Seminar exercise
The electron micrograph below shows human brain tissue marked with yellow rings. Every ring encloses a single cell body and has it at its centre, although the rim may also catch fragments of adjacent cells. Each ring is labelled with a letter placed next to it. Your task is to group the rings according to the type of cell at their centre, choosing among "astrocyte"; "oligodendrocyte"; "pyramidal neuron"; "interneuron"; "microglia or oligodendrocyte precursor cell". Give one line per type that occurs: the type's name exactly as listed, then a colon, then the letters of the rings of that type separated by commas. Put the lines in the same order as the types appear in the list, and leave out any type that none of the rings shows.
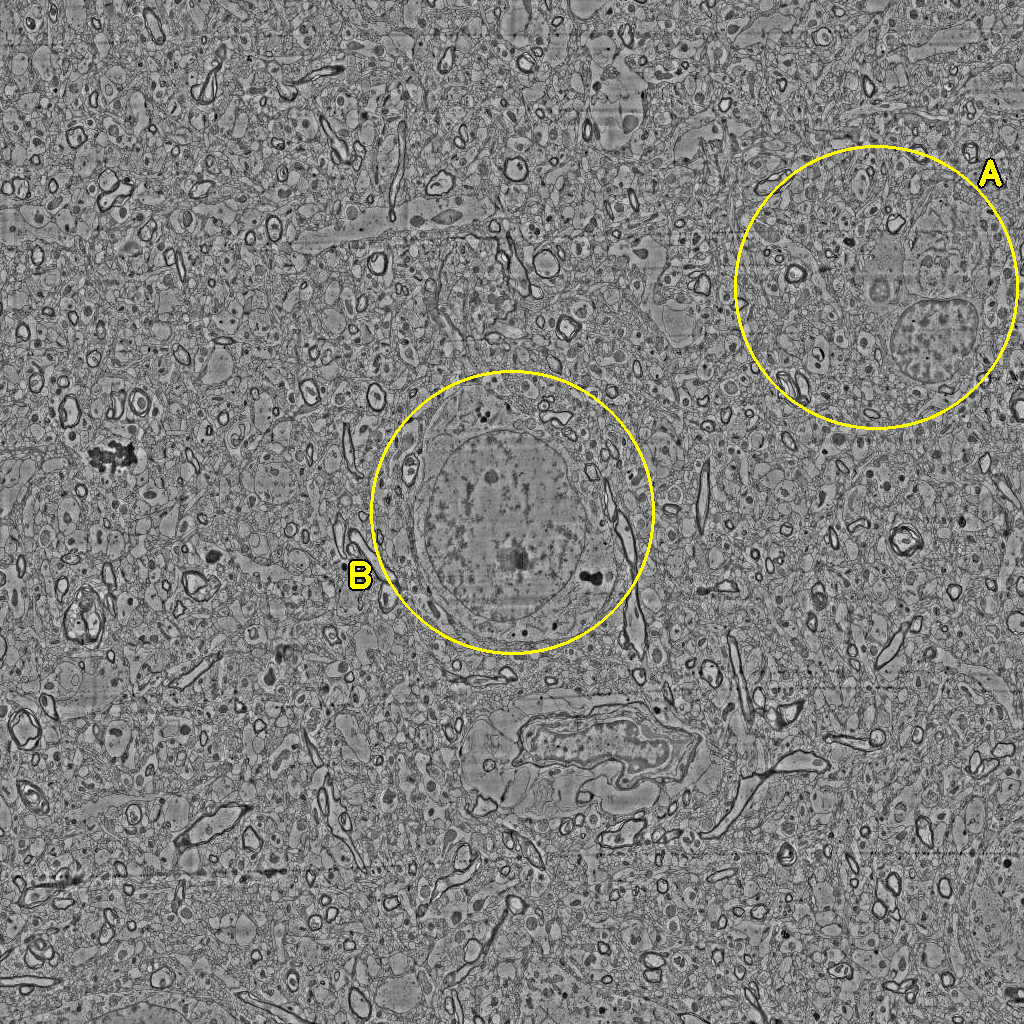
oligodendrocyte: A
pyramidal neuron: B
